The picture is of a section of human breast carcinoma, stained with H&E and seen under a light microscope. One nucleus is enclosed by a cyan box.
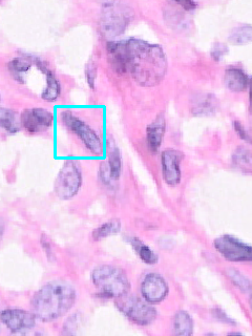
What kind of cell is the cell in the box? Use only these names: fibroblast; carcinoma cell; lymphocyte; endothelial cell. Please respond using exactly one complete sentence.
The cell type of the cell in the box is that of an endothelial cell.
